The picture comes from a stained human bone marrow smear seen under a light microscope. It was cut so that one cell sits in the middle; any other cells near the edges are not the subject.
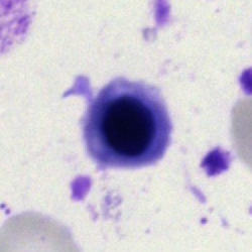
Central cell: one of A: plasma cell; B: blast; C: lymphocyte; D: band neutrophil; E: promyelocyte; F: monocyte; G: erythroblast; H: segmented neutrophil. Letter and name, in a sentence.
Option G is the correct option, with the middle cell being an erythroblast.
